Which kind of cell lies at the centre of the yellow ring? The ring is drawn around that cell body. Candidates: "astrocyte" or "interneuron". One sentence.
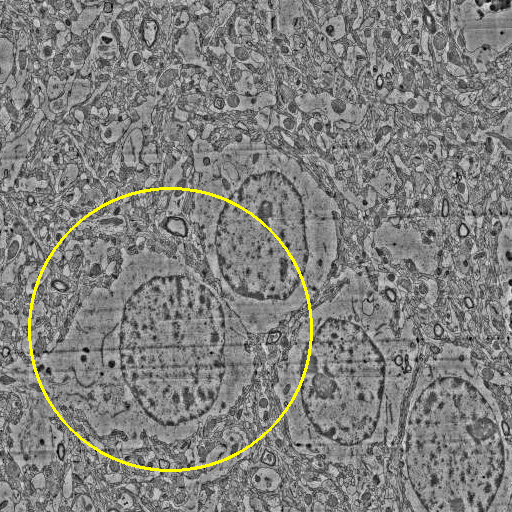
Lying at the centre of the ring is an astrocyte.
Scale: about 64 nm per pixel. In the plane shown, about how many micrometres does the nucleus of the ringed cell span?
In this plane, the nucleus is roughly 10 by 8 micrometres.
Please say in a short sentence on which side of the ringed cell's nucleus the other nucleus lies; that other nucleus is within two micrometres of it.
The other nucleus can be seen to the upper right of it.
